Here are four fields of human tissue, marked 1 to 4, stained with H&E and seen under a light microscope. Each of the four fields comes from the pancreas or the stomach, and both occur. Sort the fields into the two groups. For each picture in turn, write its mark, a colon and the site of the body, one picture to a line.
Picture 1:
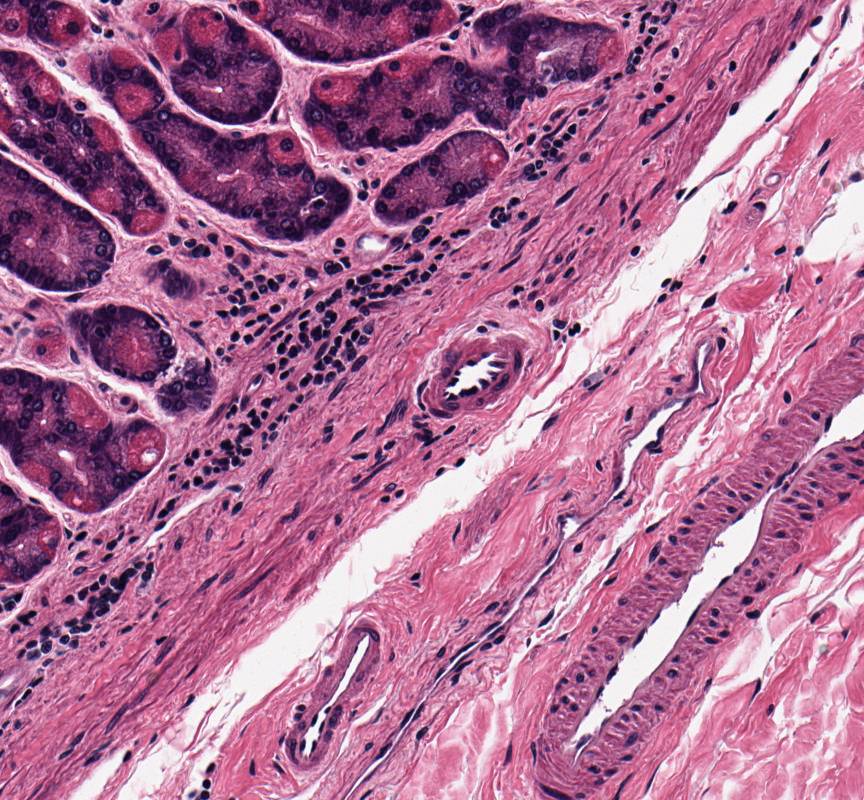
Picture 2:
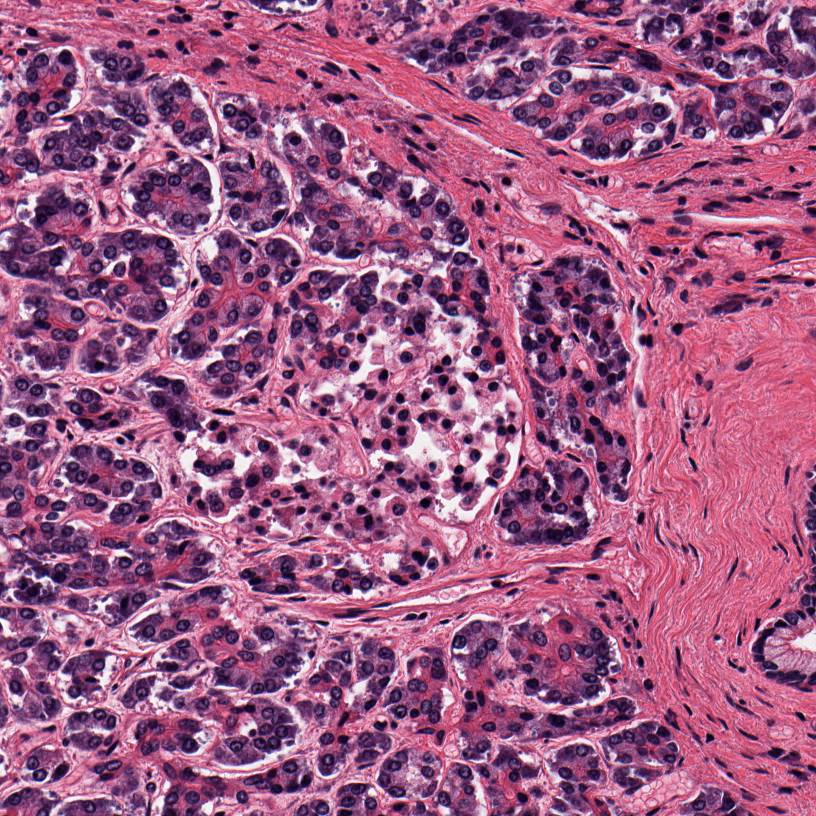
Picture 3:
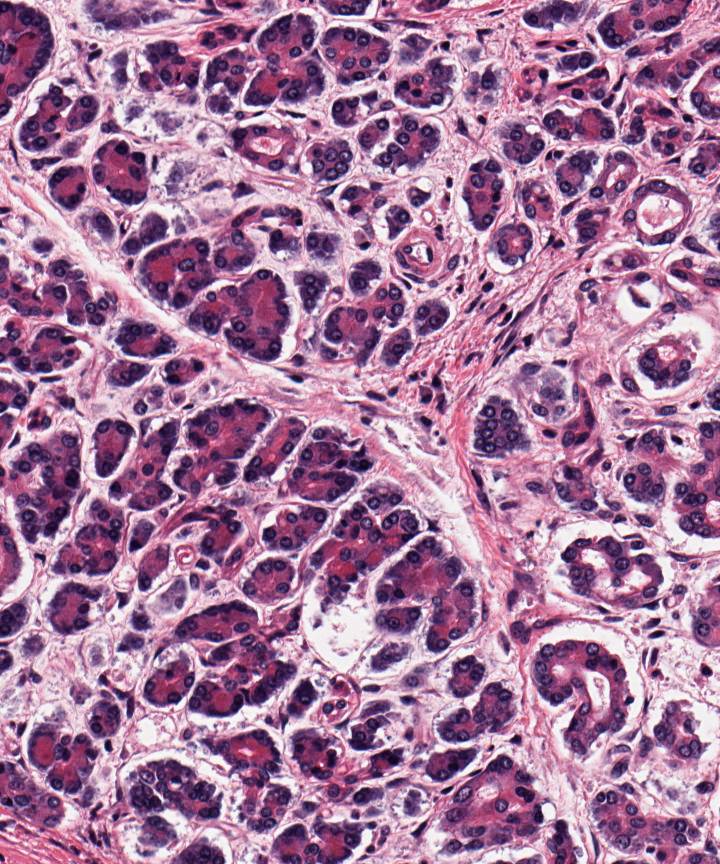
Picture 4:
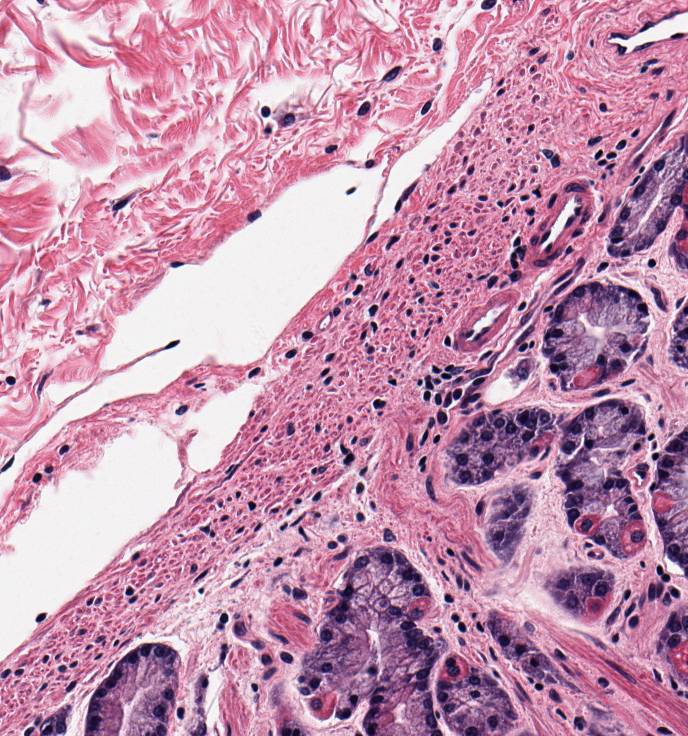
1: stomach
2: pancreas
3: pancreas
4: stomach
